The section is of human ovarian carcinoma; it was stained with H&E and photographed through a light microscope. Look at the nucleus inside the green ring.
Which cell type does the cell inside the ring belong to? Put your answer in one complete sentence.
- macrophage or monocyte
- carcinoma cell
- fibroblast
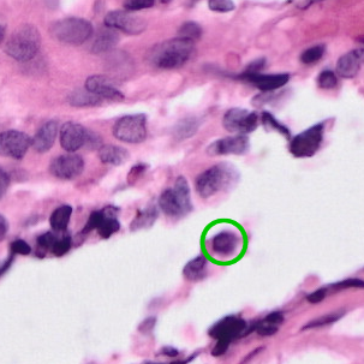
Right, so the cell inside the ring is a carcinoma cell, to answer that.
